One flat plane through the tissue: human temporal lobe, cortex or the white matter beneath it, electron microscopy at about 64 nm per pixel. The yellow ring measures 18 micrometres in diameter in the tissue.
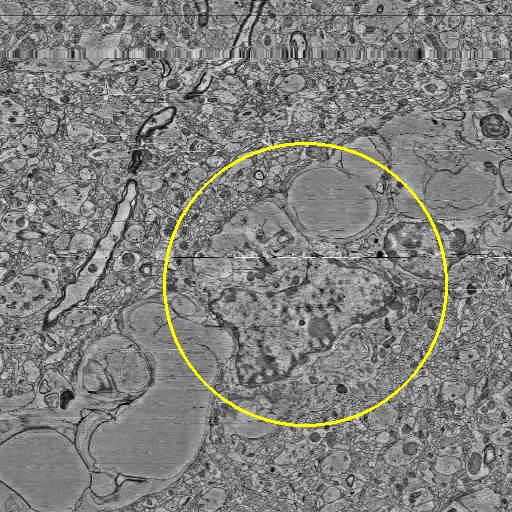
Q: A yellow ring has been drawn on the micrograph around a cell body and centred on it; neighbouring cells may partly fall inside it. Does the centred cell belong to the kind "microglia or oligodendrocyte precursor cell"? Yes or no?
Yes, it belongs to that kind.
